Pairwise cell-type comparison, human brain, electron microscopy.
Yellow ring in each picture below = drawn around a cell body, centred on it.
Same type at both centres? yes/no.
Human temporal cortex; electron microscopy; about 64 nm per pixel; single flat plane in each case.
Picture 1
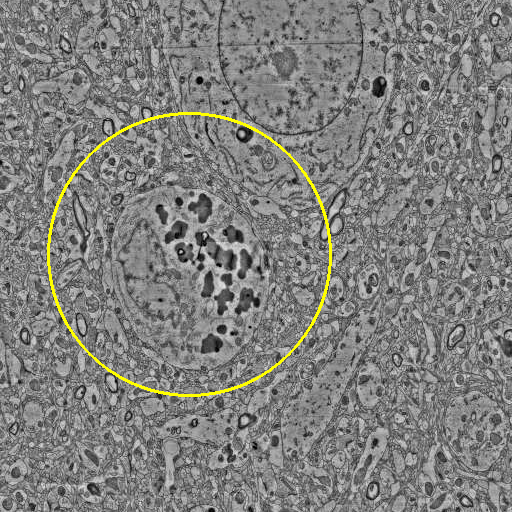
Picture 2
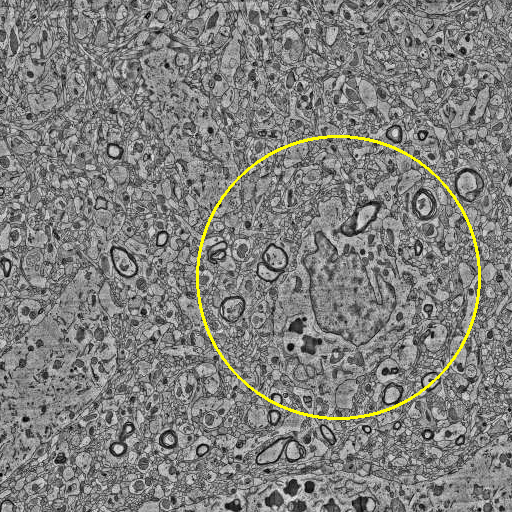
yes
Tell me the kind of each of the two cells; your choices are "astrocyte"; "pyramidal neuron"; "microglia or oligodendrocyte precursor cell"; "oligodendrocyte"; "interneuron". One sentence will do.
Both pictures show an interneuron at the centre of the ring.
